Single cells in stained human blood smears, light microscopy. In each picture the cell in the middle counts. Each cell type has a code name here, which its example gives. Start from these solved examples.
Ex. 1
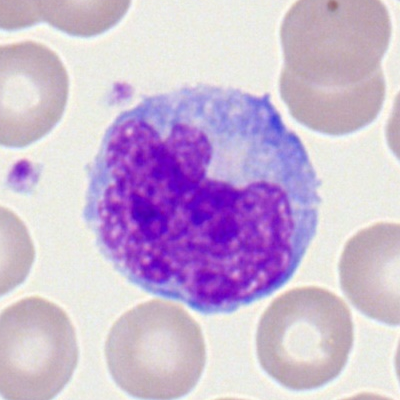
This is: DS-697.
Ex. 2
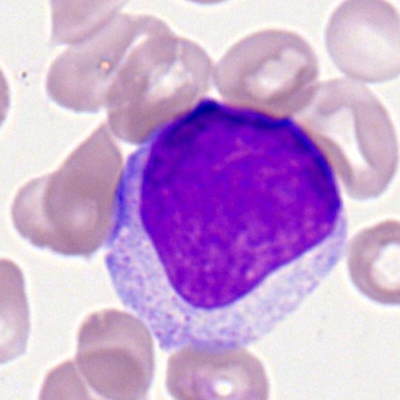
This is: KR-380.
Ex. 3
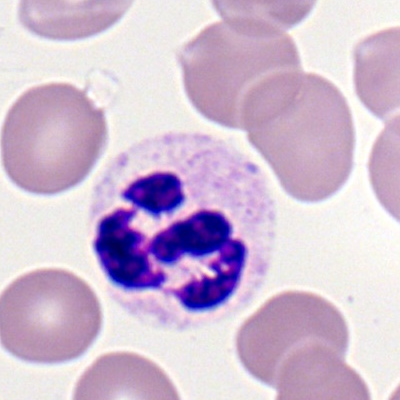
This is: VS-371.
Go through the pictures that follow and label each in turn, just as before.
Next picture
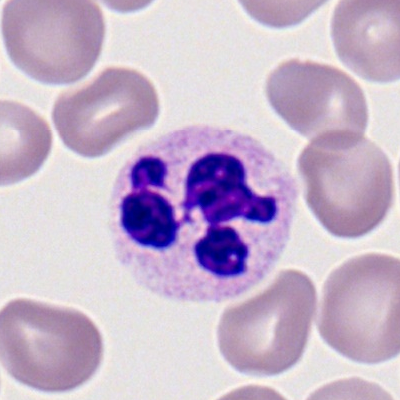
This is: VS-371.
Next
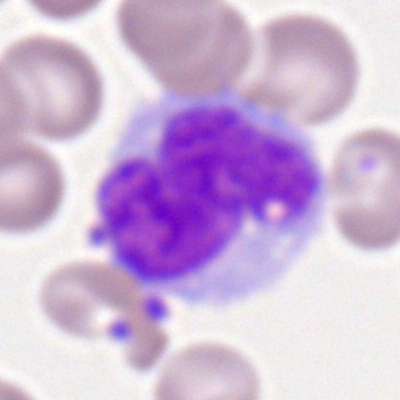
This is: DS-697.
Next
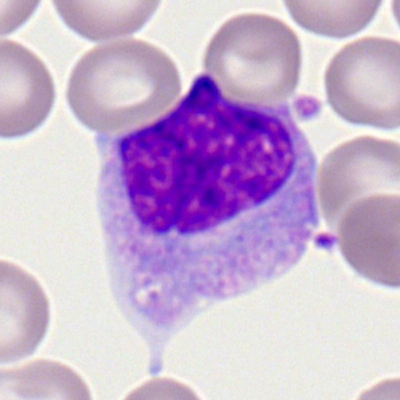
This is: DS-697.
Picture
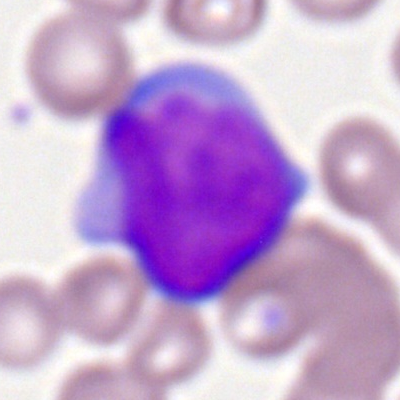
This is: KR-380.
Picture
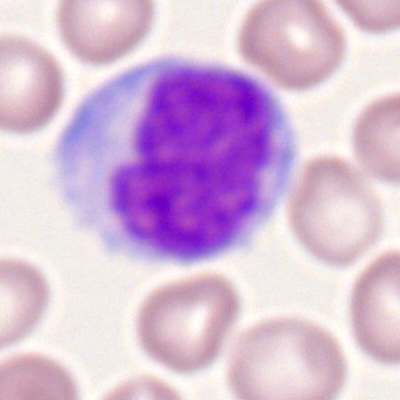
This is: DS-697.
